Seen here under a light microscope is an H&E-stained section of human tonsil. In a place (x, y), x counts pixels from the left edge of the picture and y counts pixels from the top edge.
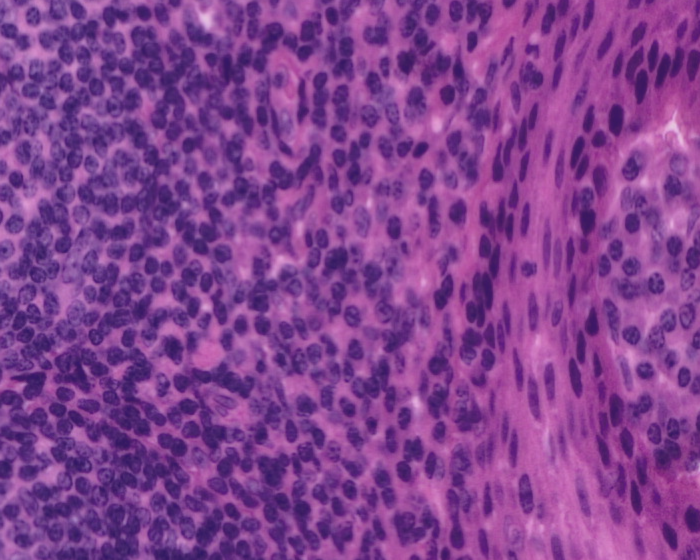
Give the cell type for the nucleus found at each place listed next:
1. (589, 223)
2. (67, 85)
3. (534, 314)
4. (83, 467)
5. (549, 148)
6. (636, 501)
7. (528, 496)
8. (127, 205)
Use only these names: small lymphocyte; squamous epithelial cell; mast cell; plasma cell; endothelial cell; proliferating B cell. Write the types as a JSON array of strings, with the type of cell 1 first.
["squamous epithelial cell", "small lymphocyte", "squamous epithelial cell", "small lymphocyte", "squamous epithelial cell", "squamous epithelial cell", "squamous epithelial cell", "small lymphocyte"]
